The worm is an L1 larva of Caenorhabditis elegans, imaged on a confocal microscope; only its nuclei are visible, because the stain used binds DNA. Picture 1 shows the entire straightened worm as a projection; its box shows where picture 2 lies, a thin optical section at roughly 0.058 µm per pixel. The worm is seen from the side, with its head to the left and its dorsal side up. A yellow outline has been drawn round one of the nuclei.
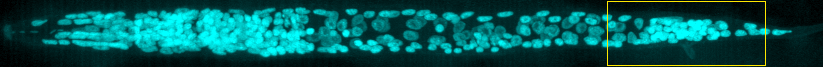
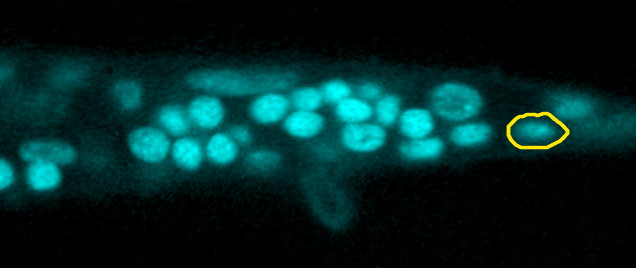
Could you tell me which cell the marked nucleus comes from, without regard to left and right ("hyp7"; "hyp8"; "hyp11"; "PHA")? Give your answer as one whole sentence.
It is the nucleus of hyp8, a hypodermal cell (hyp).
